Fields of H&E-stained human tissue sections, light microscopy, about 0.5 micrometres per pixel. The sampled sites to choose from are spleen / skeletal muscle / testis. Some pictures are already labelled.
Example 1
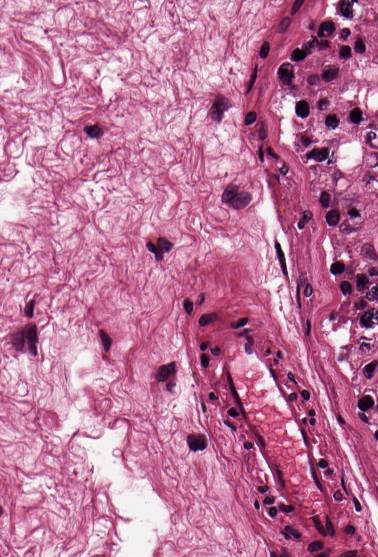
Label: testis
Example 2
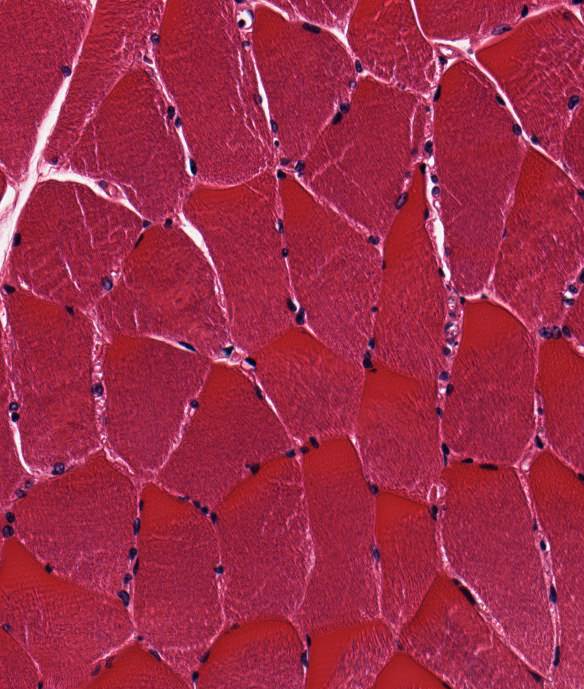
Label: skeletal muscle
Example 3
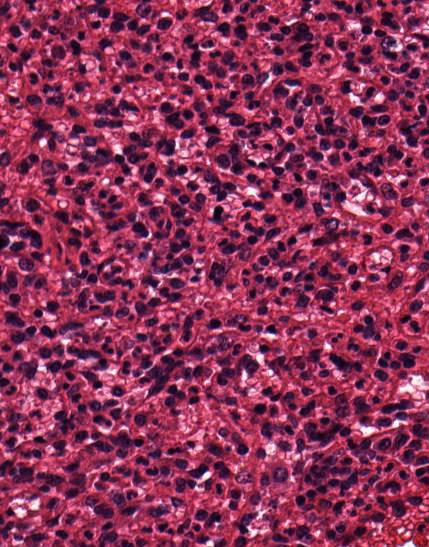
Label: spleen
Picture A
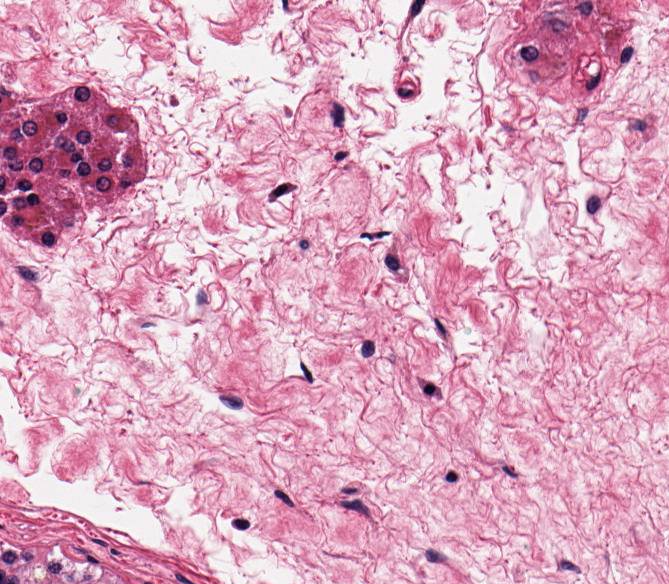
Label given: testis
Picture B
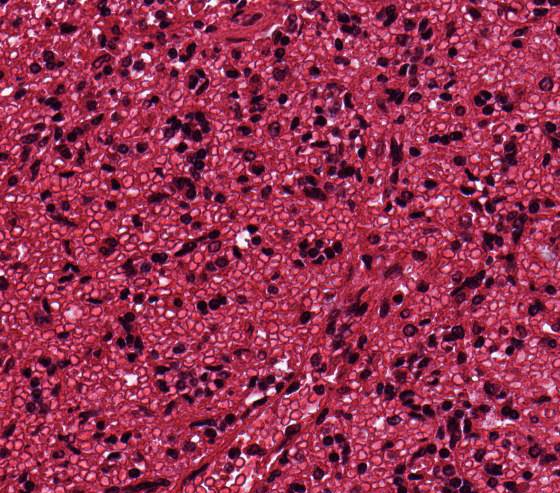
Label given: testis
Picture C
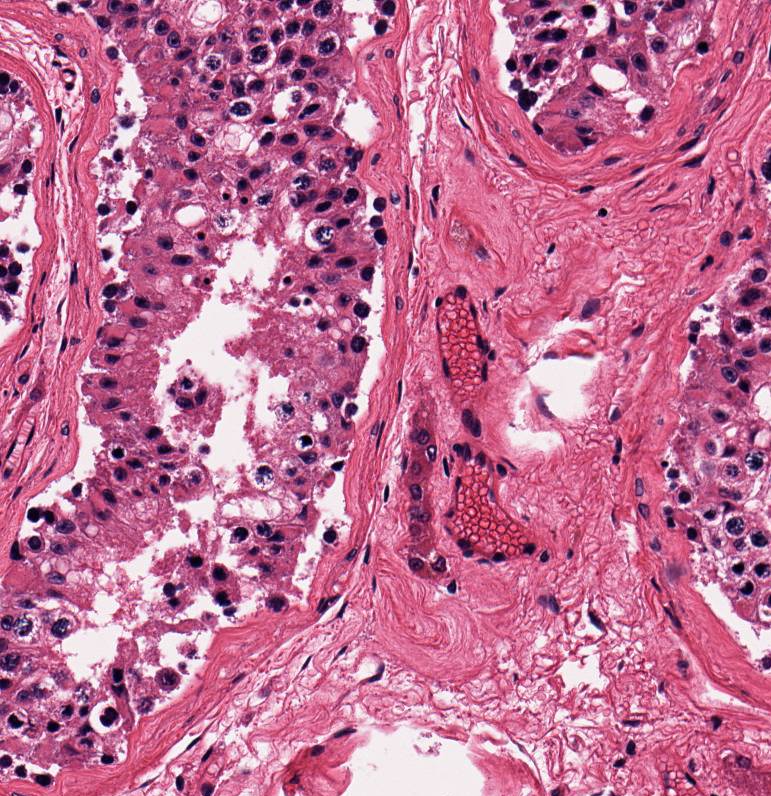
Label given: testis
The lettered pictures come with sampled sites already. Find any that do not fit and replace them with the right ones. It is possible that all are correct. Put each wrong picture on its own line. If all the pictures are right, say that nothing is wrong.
B is labelled testis; correct label: spleen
